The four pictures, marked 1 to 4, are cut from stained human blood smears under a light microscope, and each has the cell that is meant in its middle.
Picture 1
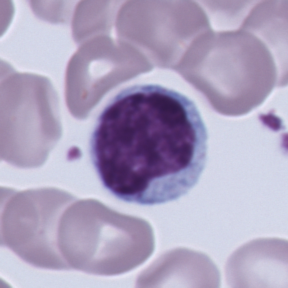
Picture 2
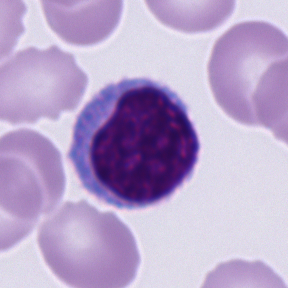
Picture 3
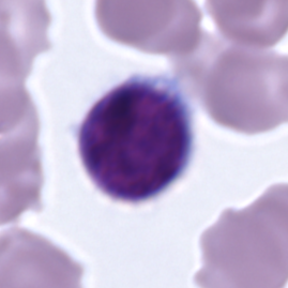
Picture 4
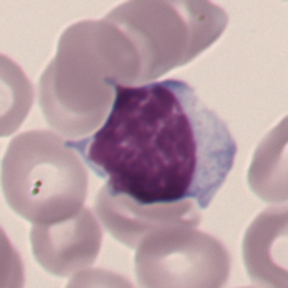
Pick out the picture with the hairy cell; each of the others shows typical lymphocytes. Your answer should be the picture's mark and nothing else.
3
